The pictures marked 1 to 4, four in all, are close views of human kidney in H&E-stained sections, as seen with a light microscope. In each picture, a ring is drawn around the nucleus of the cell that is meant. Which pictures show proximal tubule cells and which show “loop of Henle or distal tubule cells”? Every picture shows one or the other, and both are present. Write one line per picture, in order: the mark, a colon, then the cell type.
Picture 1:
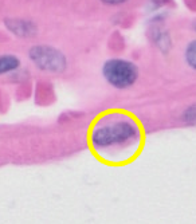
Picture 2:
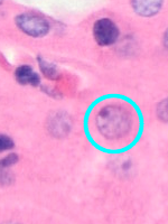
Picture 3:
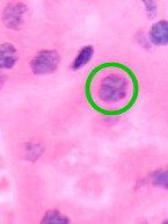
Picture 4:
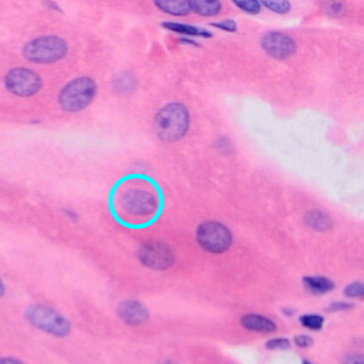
1: loop of Henle or distal tubule cell
2: proximal tubule cell
3: proximal tubule cell
4: proximal tubule cell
